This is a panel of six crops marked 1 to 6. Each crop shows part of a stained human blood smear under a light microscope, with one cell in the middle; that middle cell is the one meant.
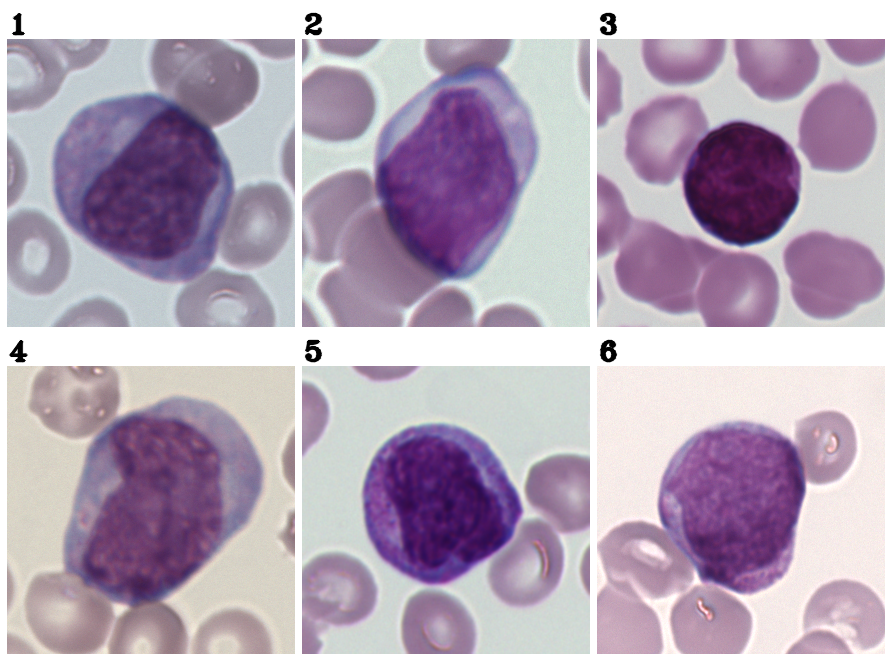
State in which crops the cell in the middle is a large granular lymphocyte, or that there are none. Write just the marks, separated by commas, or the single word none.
none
